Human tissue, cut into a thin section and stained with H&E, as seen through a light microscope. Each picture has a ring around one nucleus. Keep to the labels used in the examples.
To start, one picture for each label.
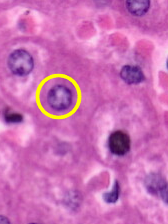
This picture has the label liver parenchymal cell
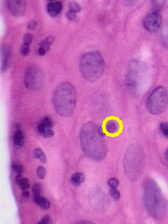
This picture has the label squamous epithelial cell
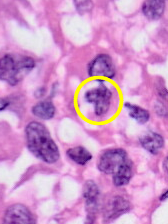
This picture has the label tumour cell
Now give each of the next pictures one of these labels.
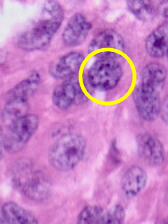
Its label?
tumour cell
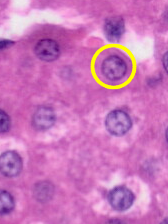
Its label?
liver parenchymal cell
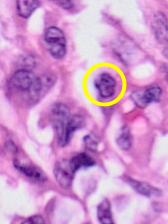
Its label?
tumour cell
